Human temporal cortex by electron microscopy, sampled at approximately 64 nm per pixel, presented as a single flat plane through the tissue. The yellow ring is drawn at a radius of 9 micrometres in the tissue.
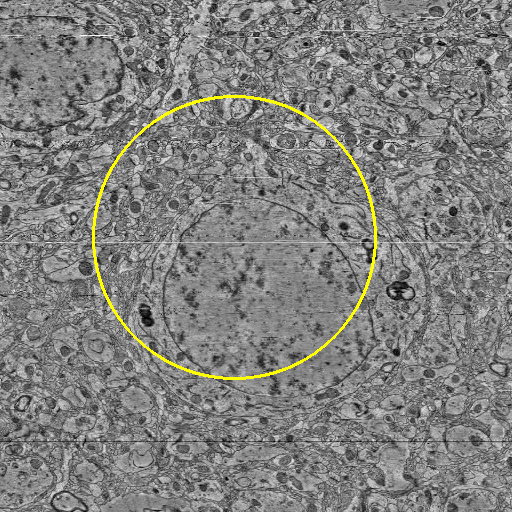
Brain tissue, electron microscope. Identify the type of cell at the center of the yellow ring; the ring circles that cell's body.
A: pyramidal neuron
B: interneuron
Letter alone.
A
